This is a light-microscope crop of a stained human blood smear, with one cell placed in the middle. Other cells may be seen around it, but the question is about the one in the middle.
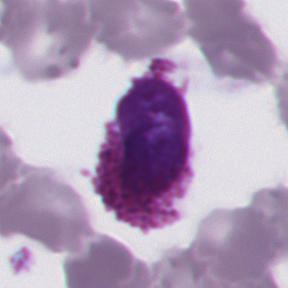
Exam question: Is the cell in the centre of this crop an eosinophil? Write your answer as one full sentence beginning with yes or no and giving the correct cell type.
Yes, the cell positioned at the centre of the crop is an eosinophil.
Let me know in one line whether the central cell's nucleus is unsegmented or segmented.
Key feature: a single compact nucleus, round, oval or kidney-shaped.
